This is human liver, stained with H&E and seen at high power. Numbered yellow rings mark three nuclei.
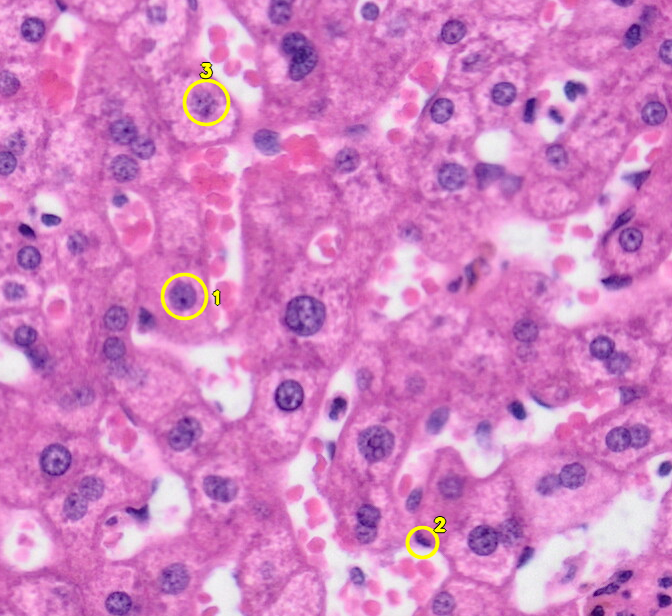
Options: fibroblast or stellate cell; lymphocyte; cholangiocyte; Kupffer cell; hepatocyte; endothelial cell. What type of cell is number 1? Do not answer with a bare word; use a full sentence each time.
The nucleus with number 1 is that of a hepatocyte.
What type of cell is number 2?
The numeral 2 marks a fibroblast or stellate cell in this section.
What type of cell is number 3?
That cell with number 3 is a hepatocyte.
